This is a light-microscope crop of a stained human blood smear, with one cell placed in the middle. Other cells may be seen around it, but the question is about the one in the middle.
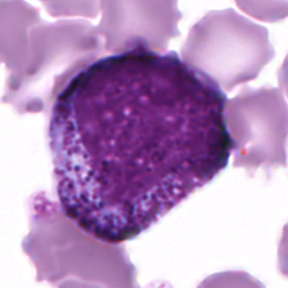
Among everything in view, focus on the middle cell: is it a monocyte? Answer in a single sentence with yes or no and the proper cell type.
No, rather than being a monocyte, the central cell is a myelocyte.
